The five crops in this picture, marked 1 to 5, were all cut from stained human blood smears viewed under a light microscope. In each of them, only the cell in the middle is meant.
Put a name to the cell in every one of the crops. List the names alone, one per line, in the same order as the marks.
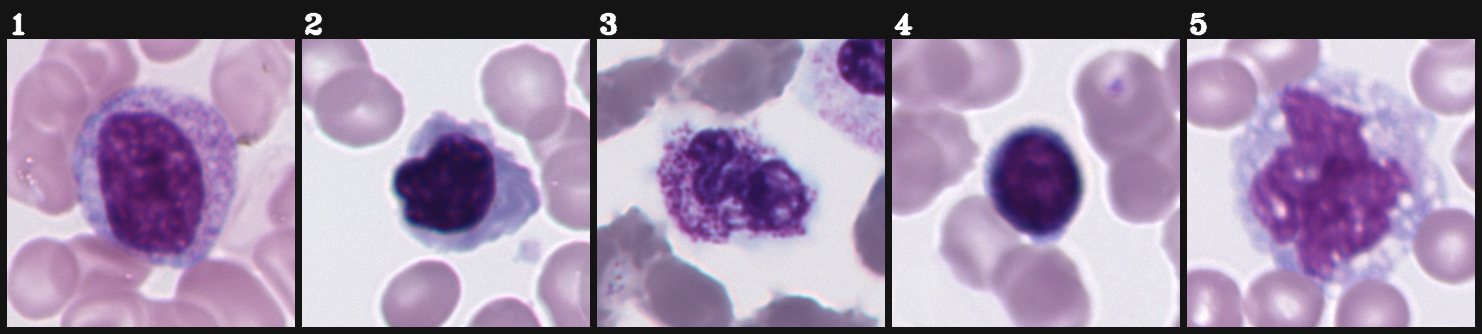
myelocyte
normoblast
segmented neutrophil
typical lymphocyte
monocyte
